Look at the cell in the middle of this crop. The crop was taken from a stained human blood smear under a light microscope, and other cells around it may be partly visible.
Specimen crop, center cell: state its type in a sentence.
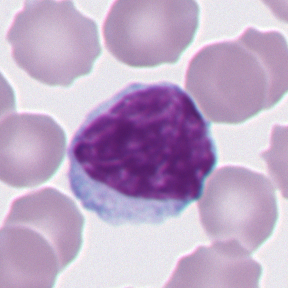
The cell of interest, in the center, is a typical lymphocyte.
